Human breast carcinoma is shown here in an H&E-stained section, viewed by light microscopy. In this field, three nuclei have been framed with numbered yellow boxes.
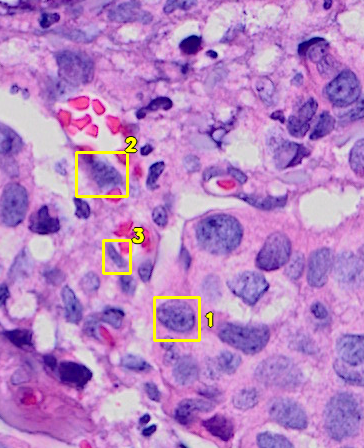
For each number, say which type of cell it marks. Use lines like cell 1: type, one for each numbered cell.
cell 1: carcinoma cell
cell 2: endothelial cell
cell 3: endothelial cell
